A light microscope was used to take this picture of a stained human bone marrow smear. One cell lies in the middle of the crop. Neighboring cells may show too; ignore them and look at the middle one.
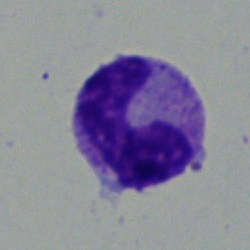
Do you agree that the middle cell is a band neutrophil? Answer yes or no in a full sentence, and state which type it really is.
Yes, the cell sitting in the center is a band neutrophil.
